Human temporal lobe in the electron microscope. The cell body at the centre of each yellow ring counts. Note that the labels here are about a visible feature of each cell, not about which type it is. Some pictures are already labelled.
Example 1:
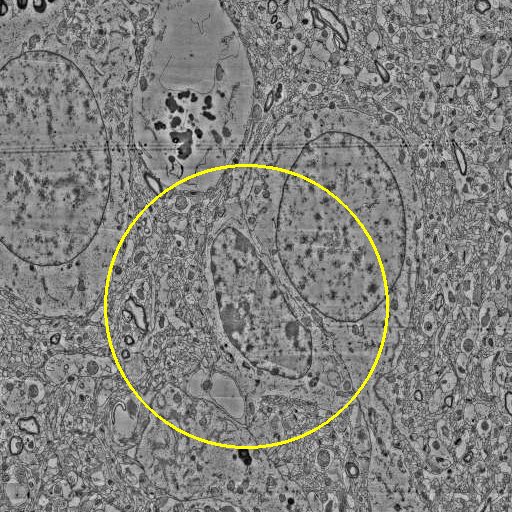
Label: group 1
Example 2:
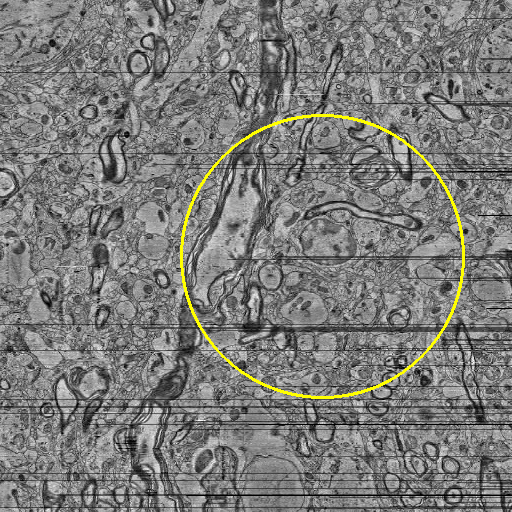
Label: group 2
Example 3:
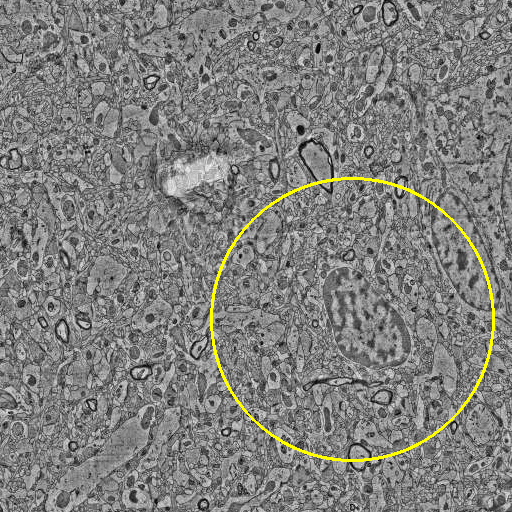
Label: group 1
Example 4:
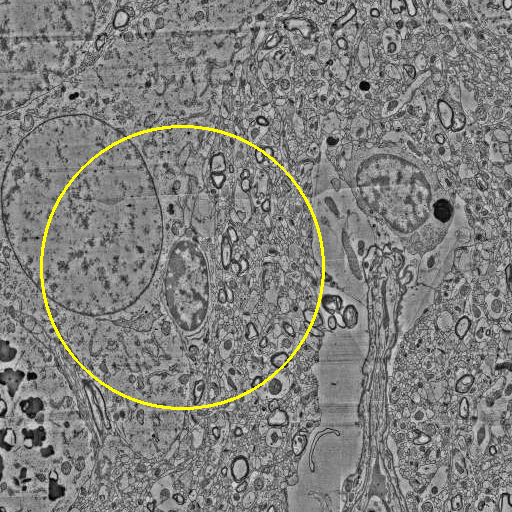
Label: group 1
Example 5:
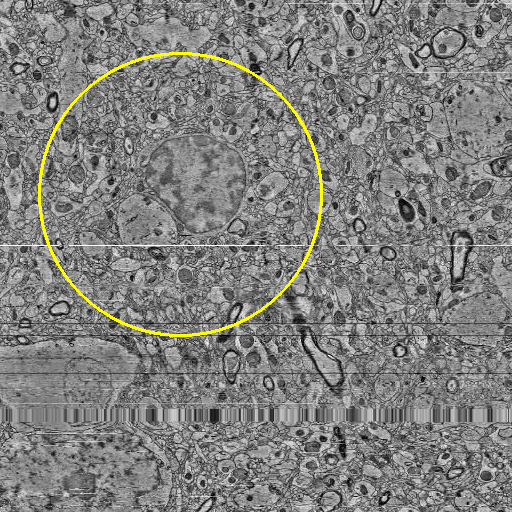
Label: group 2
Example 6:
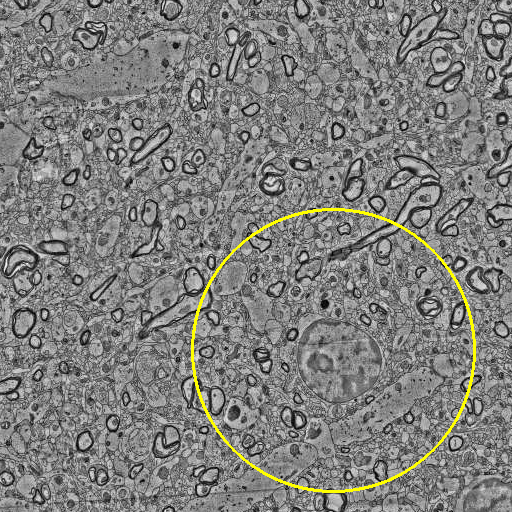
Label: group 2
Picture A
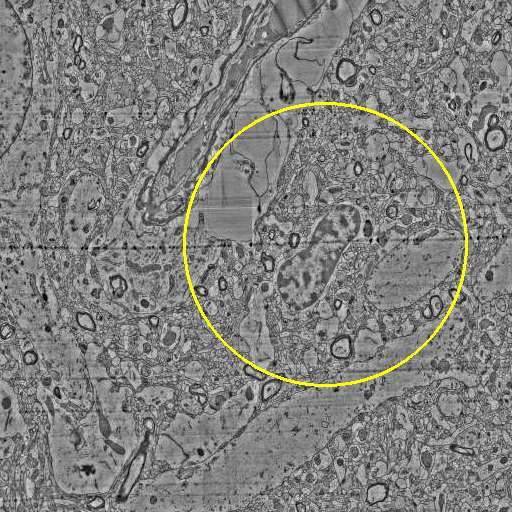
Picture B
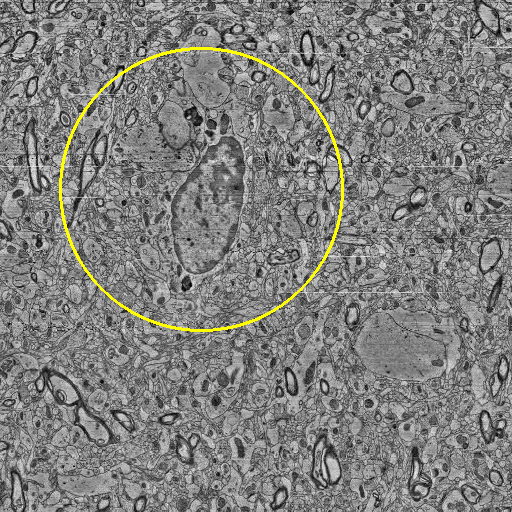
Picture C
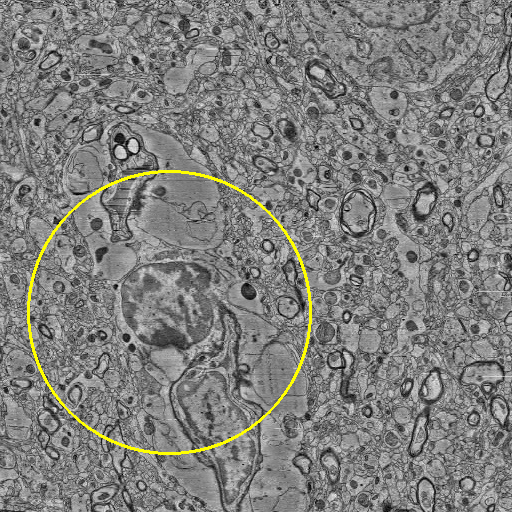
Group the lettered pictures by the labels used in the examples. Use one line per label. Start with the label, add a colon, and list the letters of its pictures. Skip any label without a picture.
group 1: A, B
group 2: C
